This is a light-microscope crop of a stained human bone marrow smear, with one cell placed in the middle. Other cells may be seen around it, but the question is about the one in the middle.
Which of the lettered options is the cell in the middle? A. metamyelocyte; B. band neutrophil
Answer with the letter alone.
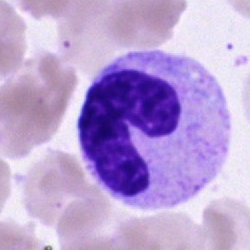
B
